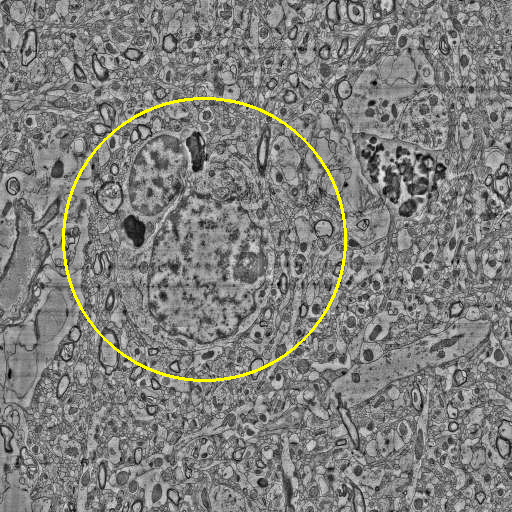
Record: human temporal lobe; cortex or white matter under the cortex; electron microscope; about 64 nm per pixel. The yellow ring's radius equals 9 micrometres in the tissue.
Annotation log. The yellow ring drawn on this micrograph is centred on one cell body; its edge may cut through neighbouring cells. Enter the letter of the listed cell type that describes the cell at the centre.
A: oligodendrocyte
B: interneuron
B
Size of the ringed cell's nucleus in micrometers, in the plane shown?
In this plane, approximately 10 by 8 micrometers.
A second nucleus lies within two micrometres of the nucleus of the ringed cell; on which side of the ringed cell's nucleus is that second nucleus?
The other nucleus lies to the upper left of it.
